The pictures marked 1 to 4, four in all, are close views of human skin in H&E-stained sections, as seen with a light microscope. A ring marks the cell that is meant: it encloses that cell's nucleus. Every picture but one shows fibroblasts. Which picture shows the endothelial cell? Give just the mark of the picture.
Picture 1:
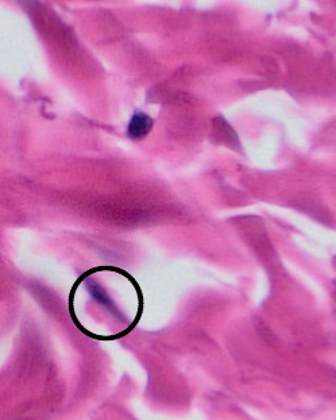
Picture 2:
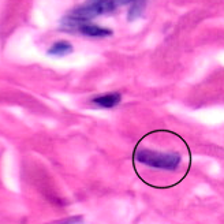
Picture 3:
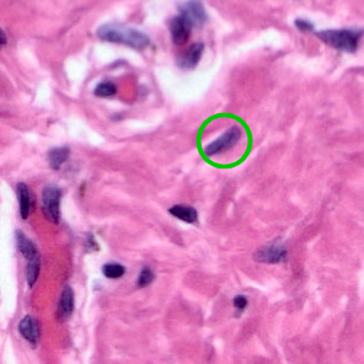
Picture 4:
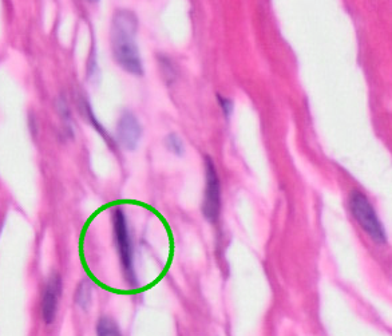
4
